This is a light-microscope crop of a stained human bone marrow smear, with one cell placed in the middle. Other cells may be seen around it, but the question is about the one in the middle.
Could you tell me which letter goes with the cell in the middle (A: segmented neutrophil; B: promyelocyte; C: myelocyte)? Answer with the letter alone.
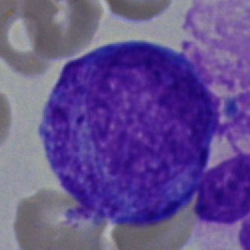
B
